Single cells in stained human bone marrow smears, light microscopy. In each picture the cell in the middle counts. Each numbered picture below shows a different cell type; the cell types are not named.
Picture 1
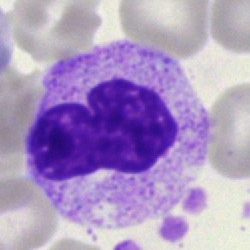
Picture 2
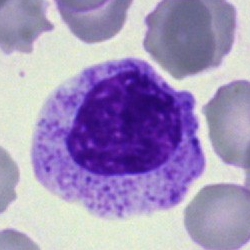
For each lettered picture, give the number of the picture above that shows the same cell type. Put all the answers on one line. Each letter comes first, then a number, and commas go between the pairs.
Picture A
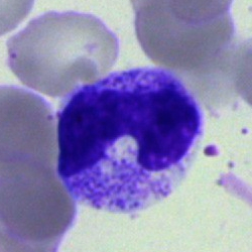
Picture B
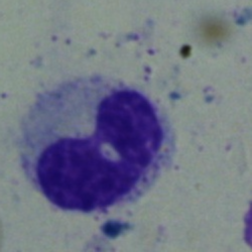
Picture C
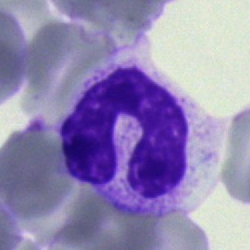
A 1, B 1, C 1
